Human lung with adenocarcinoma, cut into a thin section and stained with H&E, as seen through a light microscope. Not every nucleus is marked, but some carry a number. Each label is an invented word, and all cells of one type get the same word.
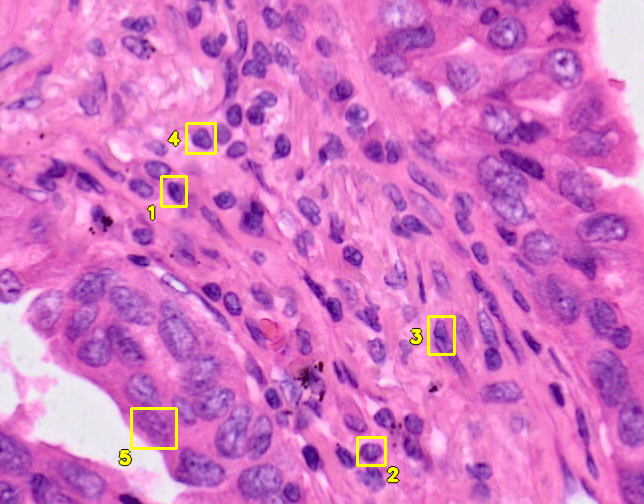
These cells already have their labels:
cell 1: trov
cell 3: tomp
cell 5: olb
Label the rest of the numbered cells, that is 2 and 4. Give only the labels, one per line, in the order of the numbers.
trov
trov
